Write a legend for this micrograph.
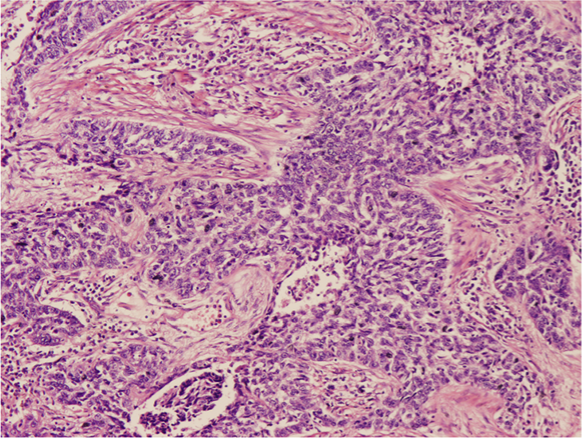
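This is a carcinoma made of large islands of nested tumor cells infiltrated by lymphocytes. The tumor cells are crowded with dark oval nuclei and little cytoplasm, giving a purple appearance, and small round dark lymphocytes are mixed among them. Bands of pale pink fibrous stroma run between the nests.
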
